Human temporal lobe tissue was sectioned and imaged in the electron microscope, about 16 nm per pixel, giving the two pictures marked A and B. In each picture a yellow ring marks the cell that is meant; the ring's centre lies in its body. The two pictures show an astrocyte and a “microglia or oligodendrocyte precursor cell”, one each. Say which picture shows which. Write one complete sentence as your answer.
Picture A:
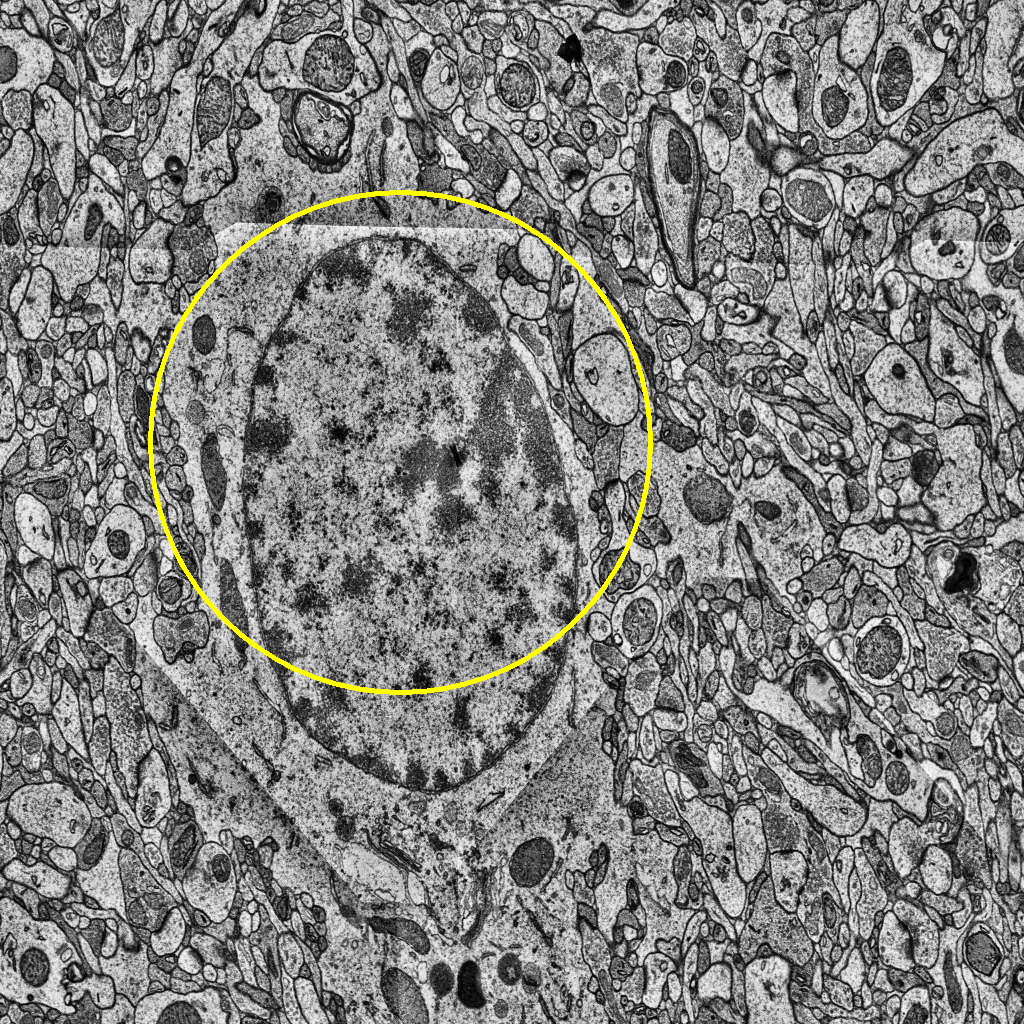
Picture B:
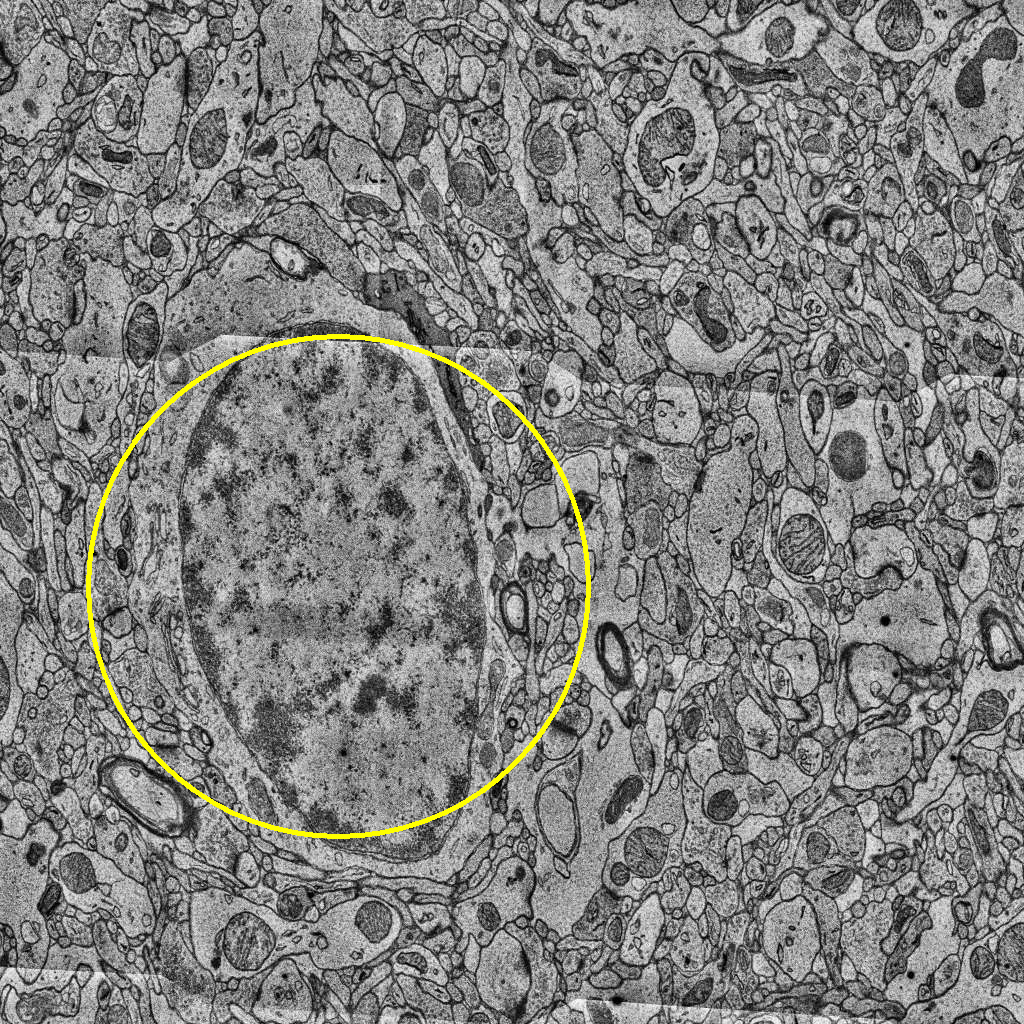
Picture A shows an astrocyte and picture B shows a “microglia or oligodendrocyte precursor cell”.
